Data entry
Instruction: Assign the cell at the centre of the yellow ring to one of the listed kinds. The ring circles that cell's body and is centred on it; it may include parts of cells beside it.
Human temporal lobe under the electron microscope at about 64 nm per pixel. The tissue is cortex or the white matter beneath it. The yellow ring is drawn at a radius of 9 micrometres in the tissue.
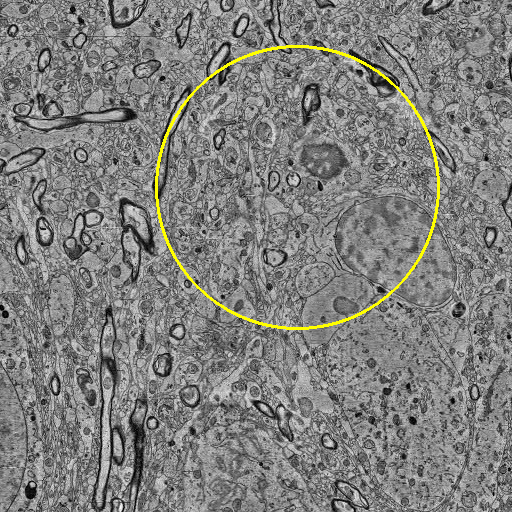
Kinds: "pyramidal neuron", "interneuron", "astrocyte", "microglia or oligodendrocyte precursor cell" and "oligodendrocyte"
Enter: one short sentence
The centre of the ring falls on an oligodendrocyte.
